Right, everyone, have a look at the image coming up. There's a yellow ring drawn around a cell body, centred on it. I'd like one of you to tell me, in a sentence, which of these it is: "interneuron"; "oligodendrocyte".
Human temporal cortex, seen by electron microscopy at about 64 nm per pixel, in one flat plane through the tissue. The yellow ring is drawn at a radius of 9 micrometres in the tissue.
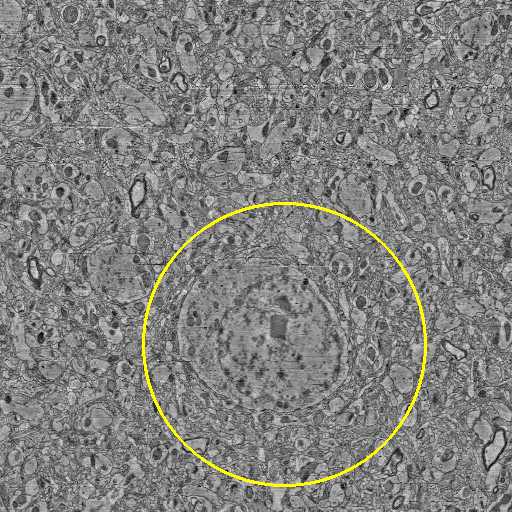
The yellow ring sits on an interneuron.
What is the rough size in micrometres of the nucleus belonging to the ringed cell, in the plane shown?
About 8 micrometers across, in this plane.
